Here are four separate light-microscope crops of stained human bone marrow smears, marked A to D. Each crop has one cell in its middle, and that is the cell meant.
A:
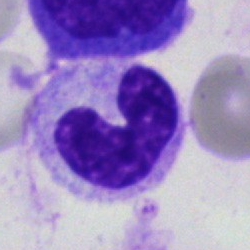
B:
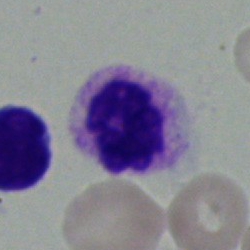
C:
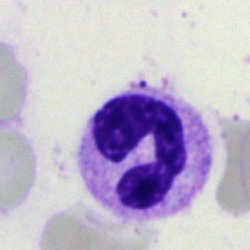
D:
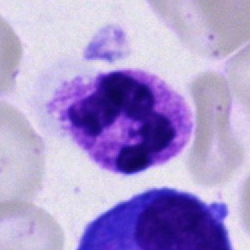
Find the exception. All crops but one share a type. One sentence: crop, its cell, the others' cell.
Crop A is the sole crop with a band neutrophil; the others all have segmented neutrophils.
